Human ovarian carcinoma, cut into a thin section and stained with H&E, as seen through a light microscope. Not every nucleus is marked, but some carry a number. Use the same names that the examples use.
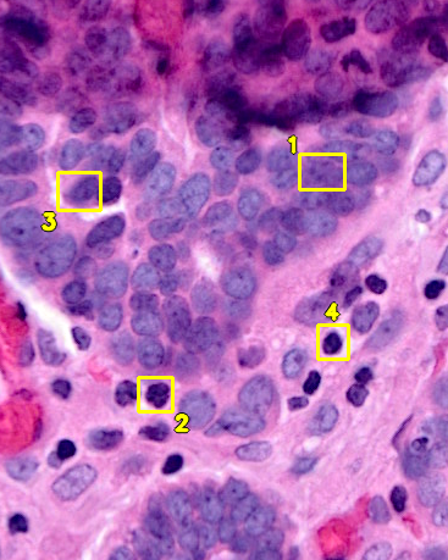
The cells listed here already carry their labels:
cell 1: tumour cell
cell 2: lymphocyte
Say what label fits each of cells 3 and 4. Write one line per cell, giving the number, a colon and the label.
3: tumour cell
4: lymphocyte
